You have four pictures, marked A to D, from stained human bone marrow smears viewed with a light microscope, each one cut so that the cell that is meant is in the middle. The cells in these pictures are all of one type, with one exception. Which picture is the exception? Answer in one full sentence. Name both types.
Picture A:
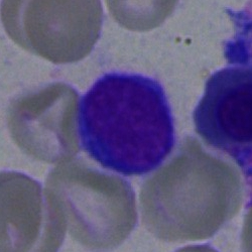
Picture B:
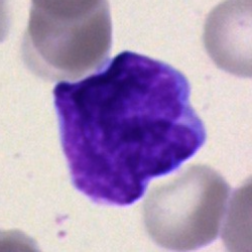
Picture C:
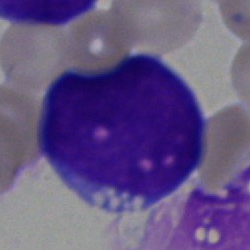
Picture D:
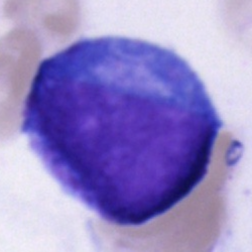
All pictures except A show blasts; picture A shows a lymphocyte.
